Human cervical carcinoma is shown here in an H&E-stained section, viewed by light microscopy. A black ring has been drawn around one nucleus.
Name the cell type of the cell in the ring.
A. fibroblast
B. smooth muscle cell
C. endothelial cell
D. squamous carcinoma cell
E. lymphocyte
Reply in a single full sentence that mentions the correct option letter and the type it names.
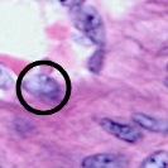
The correct choice is option C; the cell in the ring is an endothelial cell.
